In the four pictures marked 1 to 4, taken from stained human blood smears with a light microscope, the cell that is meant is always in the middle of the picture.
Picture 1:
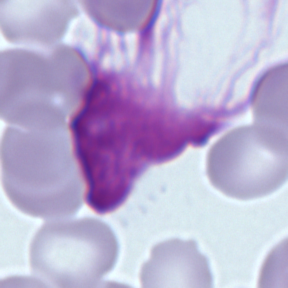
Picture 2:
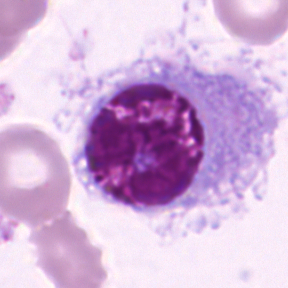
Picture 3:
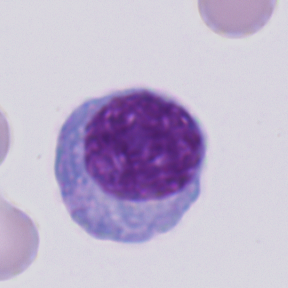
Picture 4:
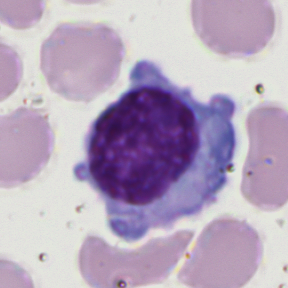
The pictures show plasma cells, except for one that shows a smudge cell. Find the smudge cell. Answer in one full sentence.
It is picture 1 that shows the smudge cell.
